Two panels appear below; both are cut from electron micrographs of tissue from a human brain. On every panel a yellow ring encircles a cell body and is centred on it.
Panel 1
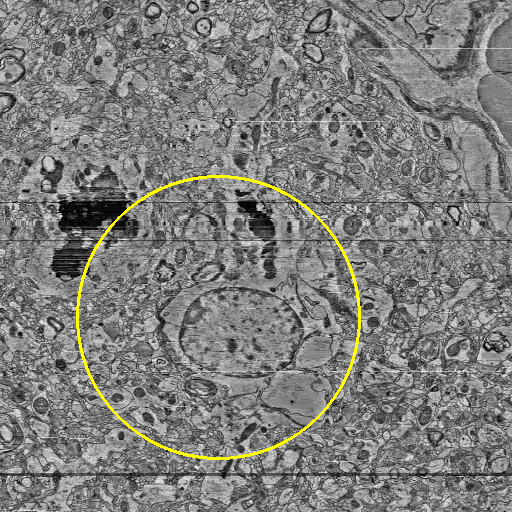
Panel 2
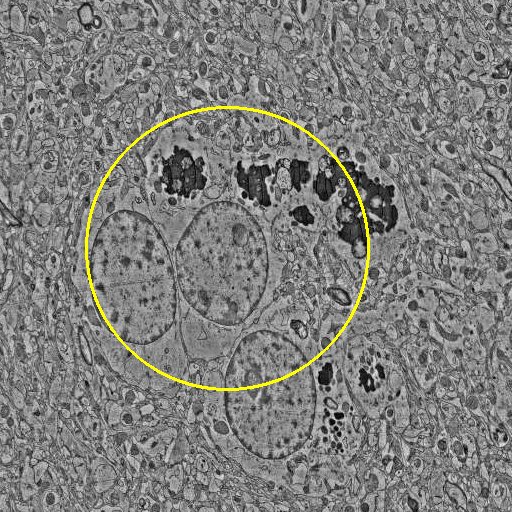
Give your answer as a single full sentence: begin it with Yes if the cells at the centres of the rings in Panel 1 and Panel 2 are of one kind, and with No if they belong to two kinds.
Yes, the cells in the middle of the rings in Panels 1 and 2 are of one kind.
